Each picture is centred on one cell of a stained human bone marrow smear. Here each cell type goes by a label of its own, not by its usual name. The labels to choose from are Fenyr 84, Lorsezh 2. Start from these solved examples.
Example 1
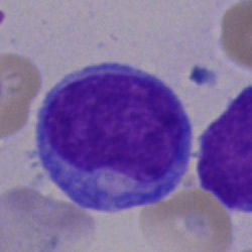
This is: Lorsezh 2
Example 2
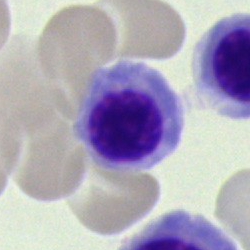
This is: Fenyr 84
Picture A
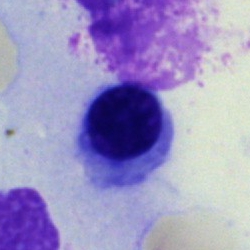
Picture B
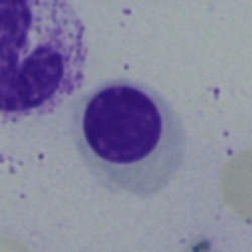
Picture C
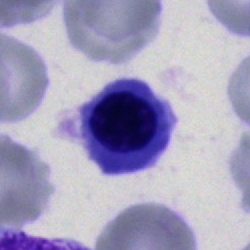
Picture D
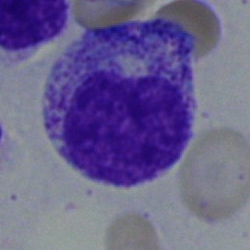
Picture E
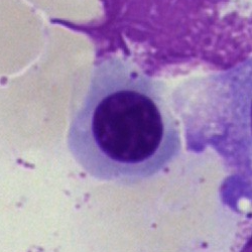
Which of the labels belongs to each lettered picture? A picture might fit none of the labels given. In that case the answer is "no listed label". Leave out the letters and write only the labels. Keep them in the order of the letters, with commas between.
Fenyr 84, Fenyr 84, Fenyr 84, no listed label, Fenyr 84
